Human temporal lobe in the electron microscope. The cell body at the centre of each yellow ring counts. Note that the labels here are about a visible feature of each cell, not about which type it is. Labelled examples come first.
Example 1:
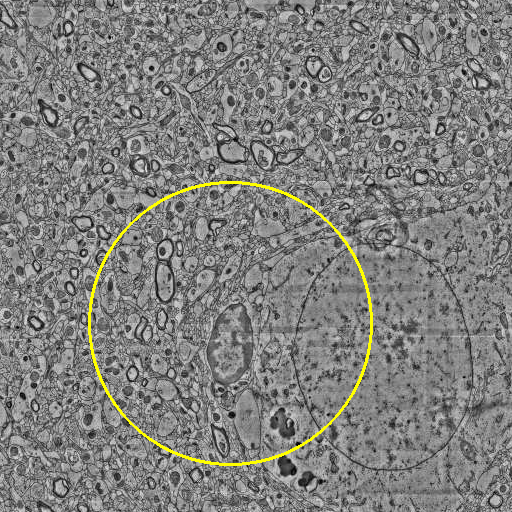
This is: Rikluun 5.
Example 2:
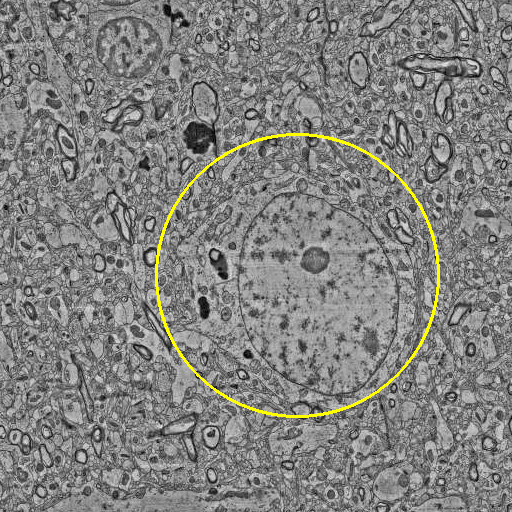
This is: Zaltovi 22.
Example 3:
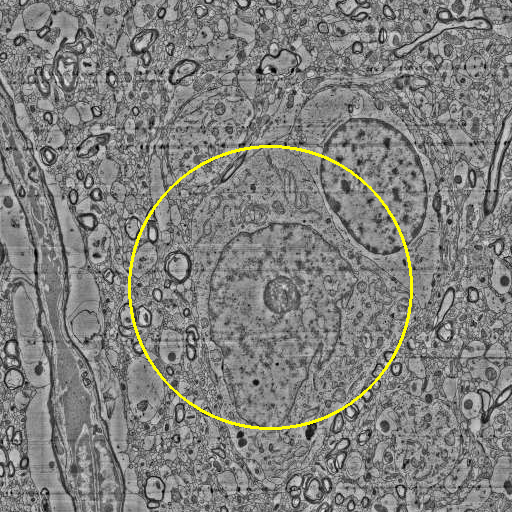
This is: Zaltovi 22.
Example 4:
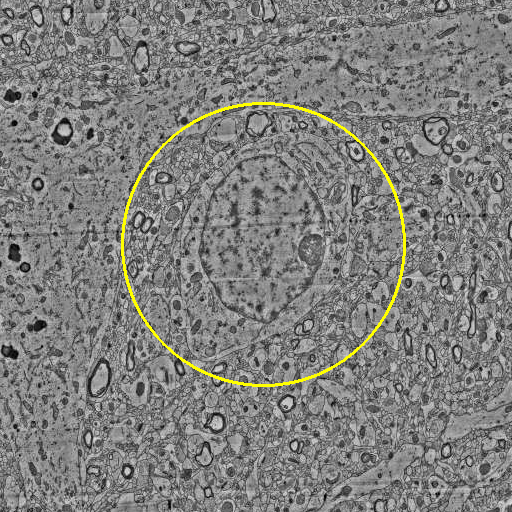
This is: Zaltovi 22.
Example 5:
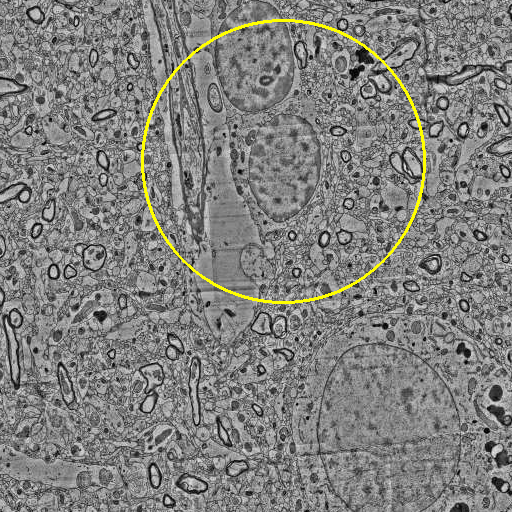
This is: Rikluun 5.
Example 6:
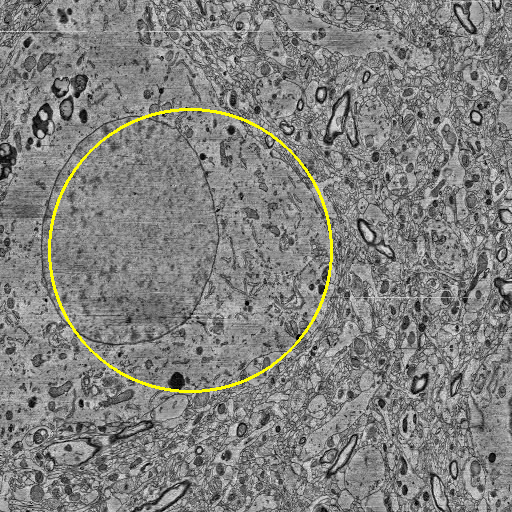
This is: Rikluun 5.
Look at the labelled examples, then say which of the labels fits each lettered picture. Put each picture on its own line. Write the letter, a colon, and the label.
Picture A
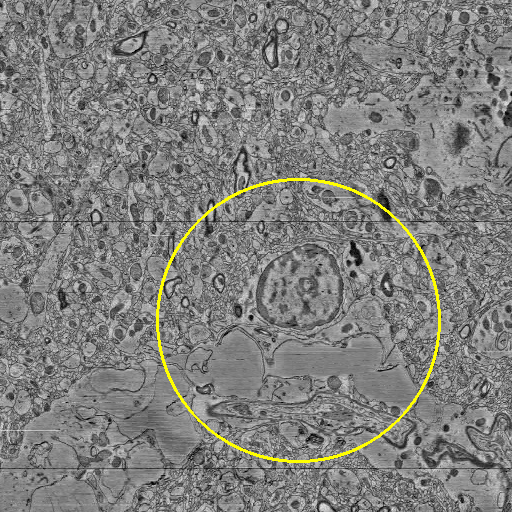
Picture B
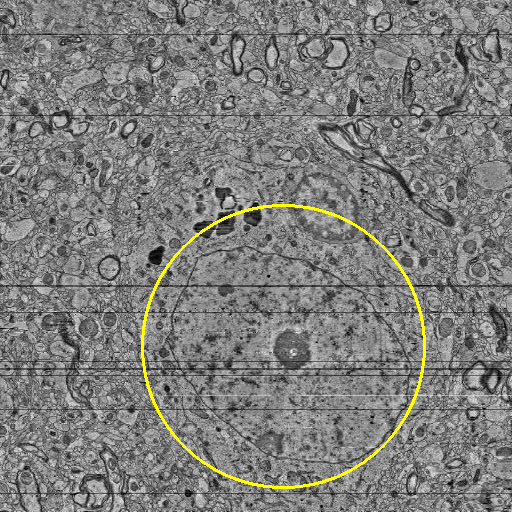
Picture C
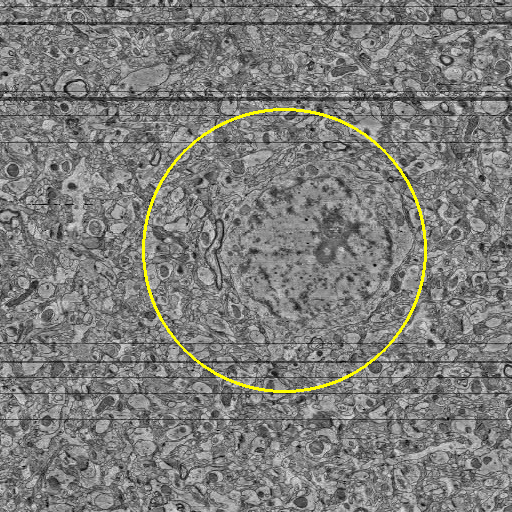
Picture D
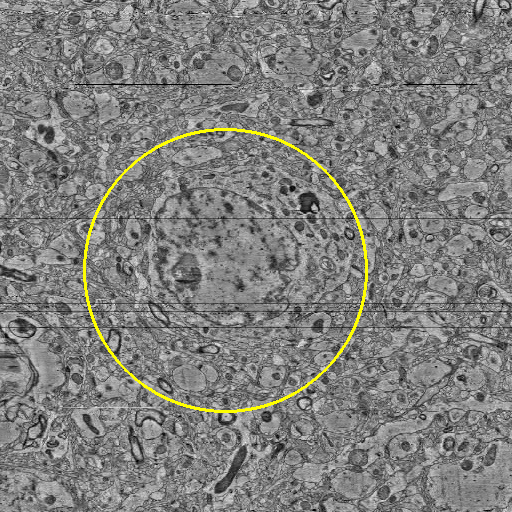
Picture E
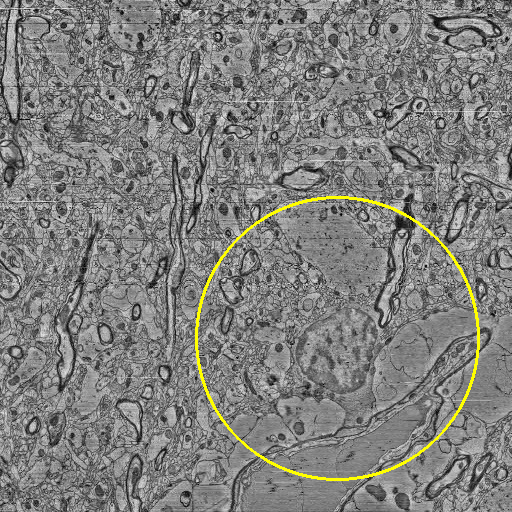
A: Zaltovi 22.
B: Zaltovi 22.
C: Zaltovi 22.
D: Zaltovi 22.
E: Rikluun 5.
